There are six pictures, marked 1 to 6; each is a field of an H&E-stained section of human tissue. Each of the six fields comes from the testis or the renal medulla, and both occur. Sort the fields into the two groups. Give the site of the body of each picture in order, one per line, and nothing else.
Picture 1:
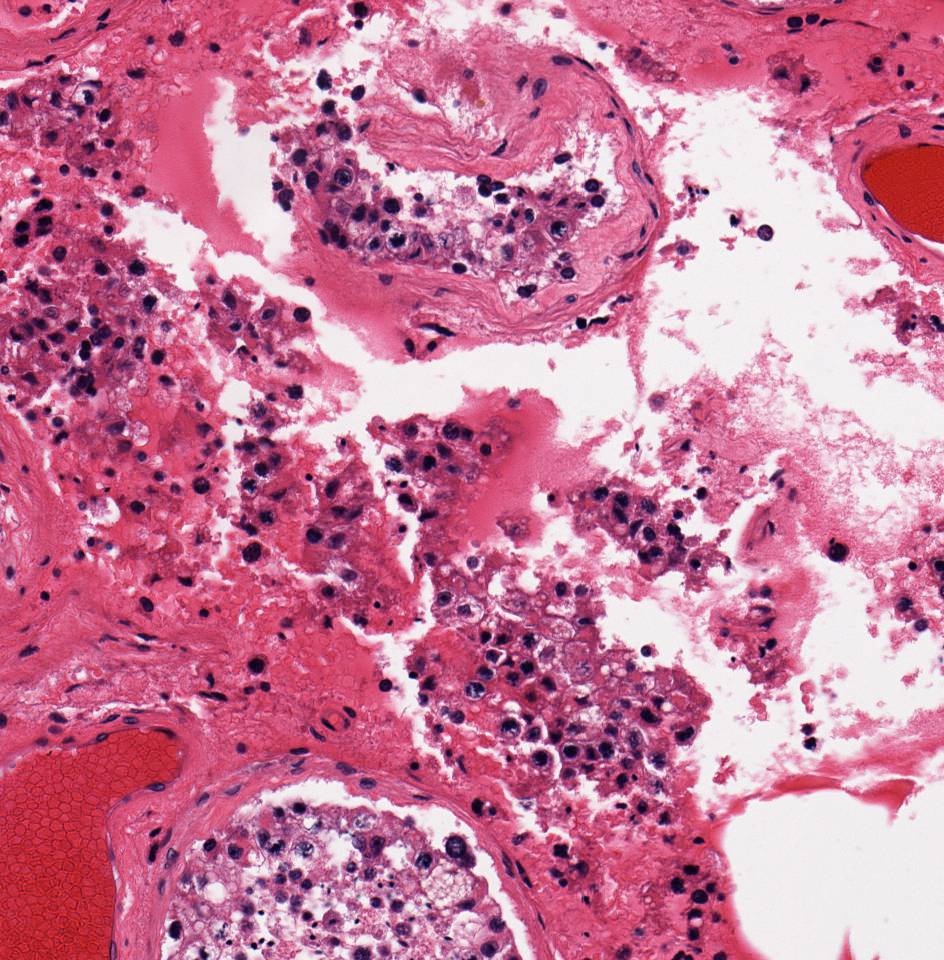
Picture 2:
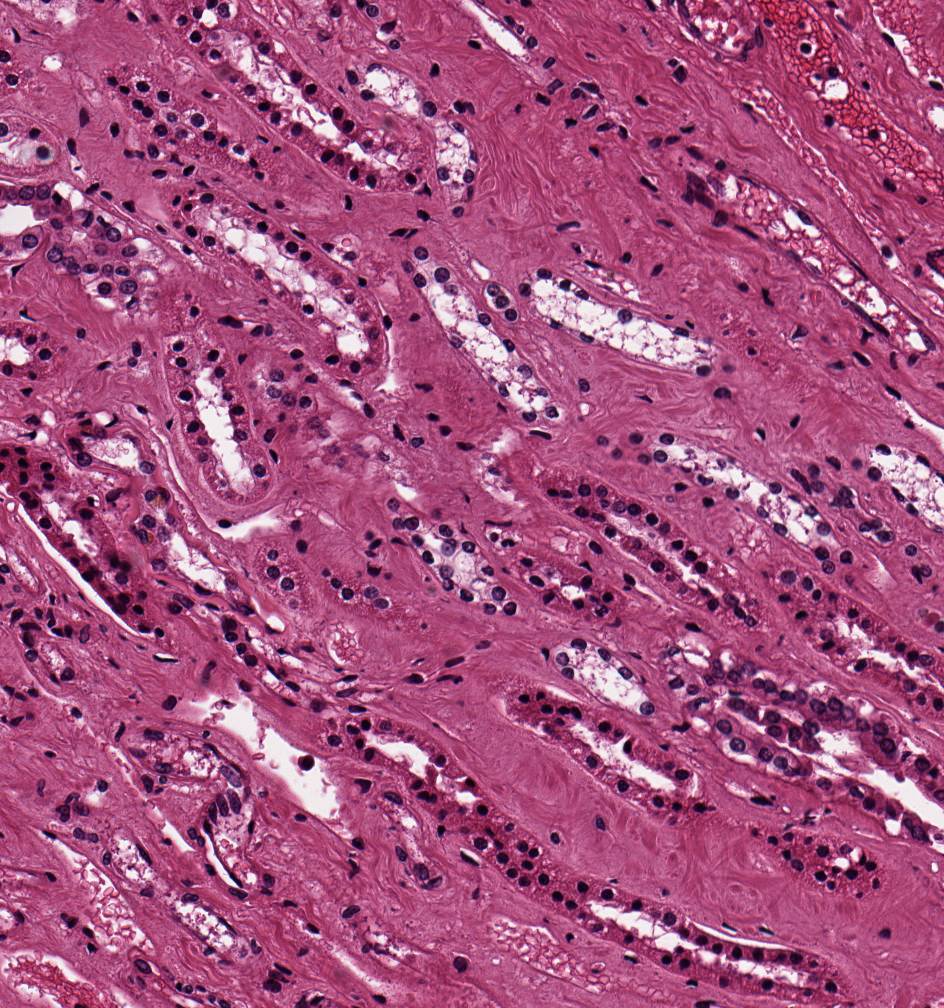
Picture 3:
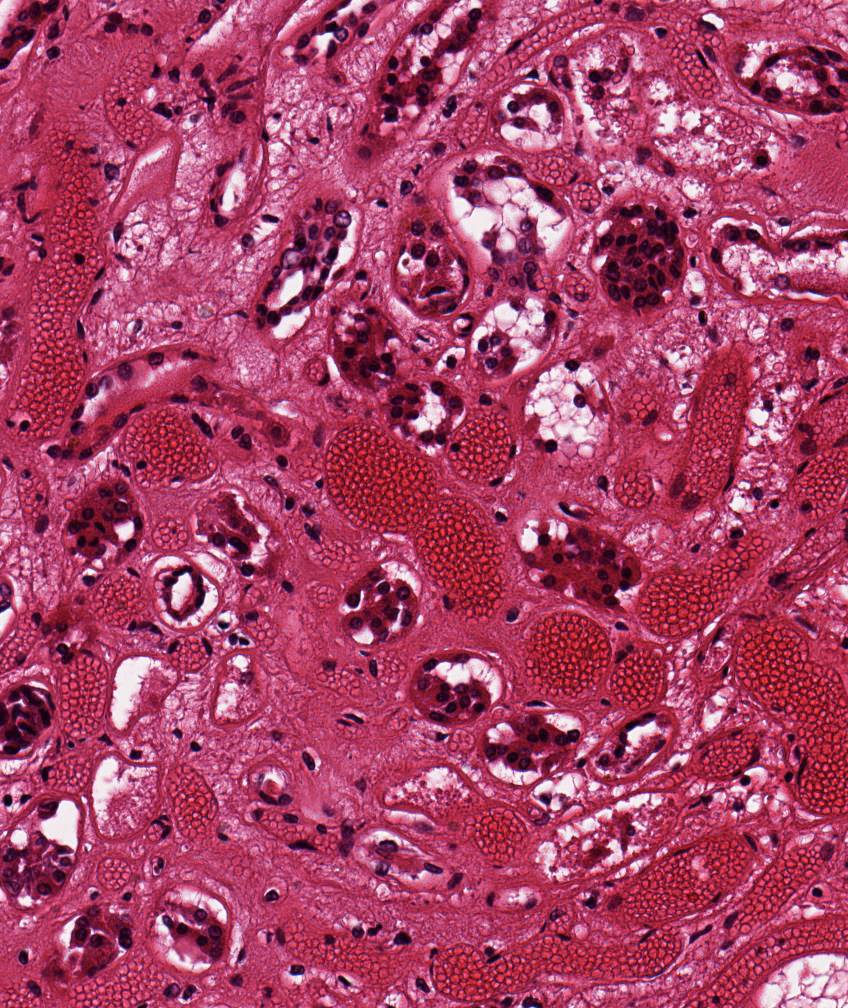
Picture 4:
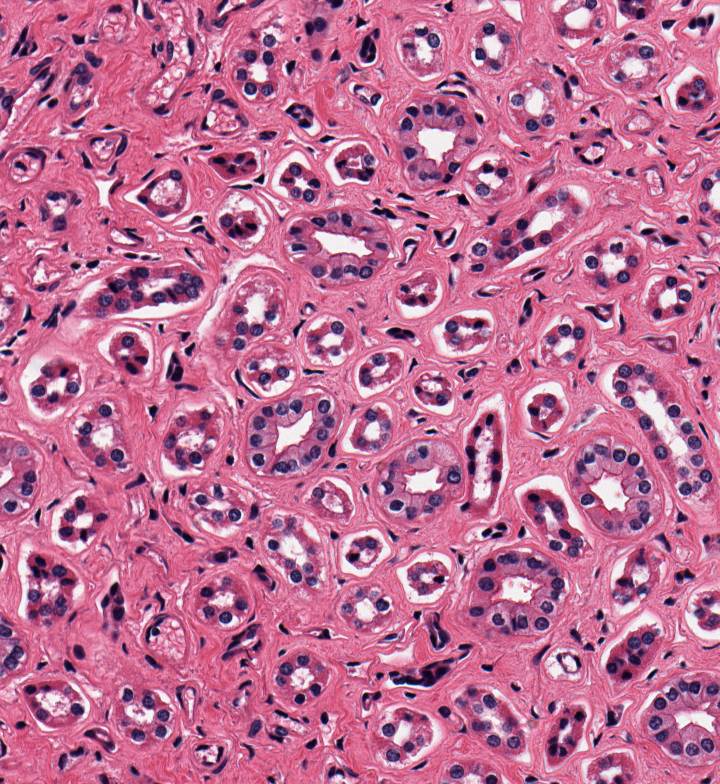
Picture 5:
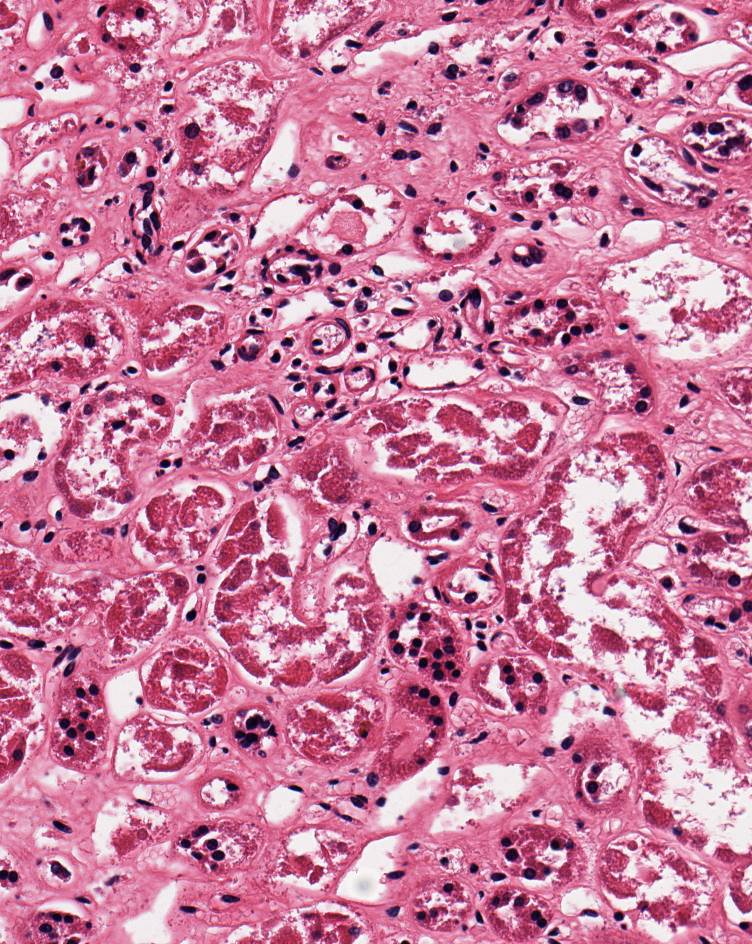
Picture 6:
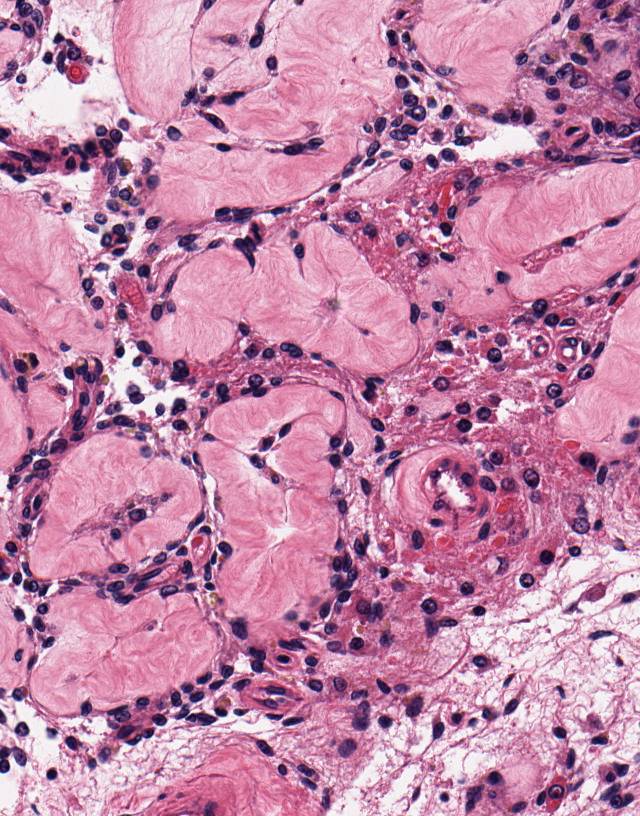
testis
renal medulla
renal medulla
renal medulla
renal medulla
testis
